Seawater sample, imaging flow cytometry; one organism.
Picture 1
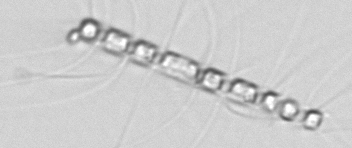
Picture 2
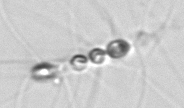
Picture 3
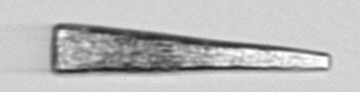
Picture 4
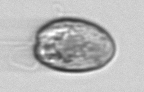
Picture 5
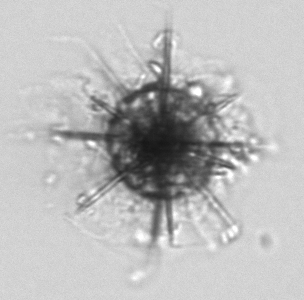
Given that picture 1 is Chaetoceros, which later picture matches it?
2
